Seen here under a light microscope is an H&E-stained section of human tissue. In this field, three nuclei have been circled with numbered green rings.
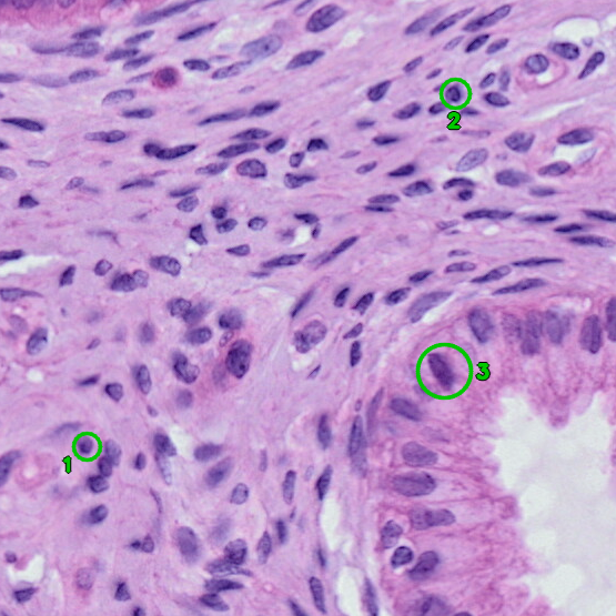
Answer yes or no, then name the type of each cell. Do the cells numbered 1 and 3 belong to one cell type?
No, listen: cell 1 is a fibroblast and cell 3 is a secretory epithelial cell.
